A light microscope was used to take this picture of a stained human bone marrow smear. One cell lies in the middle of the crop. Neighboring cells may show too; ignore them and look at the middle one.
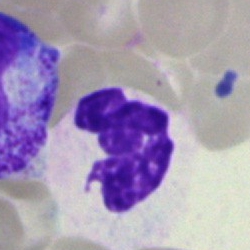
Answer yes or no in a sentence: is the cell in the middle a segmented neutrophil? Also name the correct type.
Yes, the cell of interest in the centre is a segmented neutrophil.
